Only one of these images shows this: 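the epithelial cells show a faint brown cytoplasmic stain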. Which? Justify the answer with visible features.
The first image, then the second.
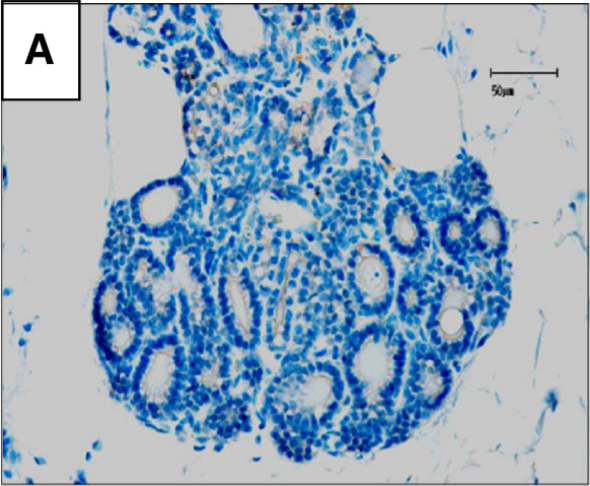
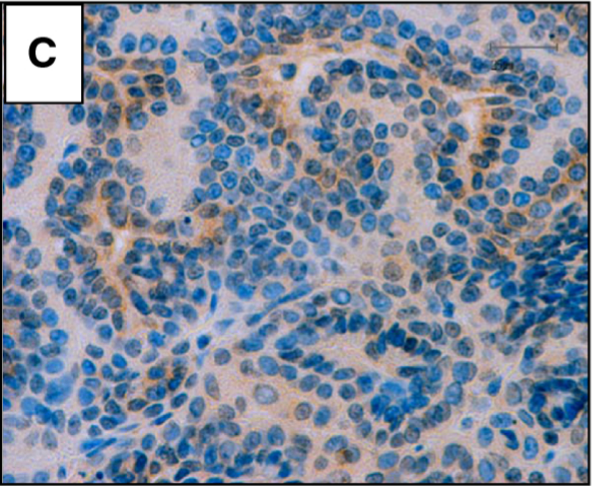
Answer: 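First image: the cells show only blue nuclei with no brown colour. Second image: a light brown tint lies in the cytoplasm of many epithelial cells, strongest along the edges of the cell groups.
Conclusion: the second image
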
